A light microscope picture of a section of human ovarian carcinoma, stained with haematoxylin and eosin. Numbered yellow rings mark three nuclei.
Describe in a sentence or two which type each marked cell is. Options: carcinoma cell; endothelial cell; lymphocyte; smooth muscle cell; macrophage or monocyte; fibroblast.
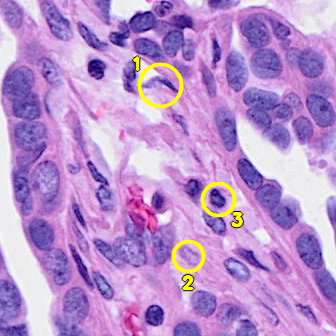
Cell 1 is a fibroblast, cell 2 is a fibroblast and cell 3 is a lymphocyte.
